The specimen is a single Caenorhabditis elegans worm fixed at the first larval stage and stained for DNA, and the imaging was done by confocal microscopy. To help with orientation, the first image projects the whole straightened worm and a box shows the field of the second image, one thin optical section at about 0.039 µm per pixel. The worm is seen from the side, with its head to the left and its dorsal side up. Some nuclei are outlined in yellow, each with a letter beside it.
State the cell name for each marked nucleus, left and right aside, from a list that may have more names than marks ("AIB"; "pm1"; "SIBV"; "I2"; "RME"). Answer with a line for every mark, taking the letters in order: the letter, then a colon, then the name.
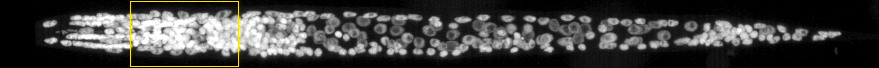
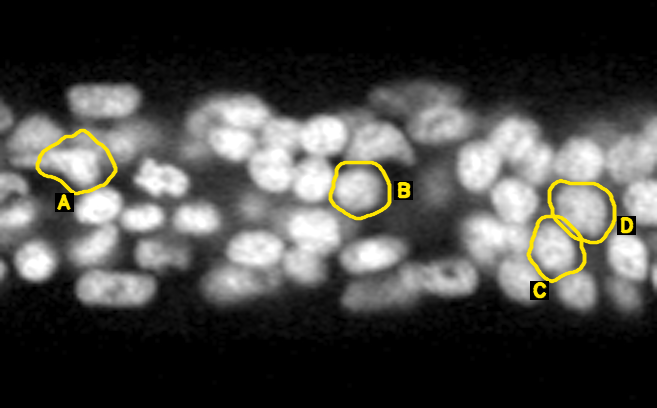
A: pm1
B: RME
C: SIBV
D: AIB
